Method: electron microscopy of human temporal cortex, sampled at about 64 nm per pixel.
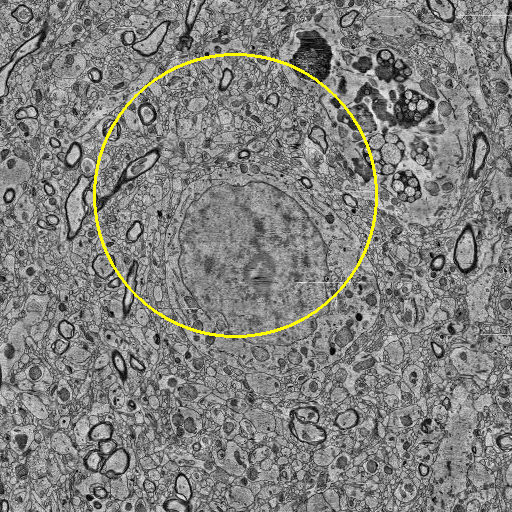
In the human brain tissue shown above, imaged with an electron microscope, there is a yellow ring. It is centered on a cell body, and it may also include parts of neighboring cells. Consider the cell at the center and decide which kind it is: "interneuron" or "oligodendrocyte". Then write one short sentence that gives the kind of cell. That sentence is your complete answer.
This centered cell body is that of an interneuron.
